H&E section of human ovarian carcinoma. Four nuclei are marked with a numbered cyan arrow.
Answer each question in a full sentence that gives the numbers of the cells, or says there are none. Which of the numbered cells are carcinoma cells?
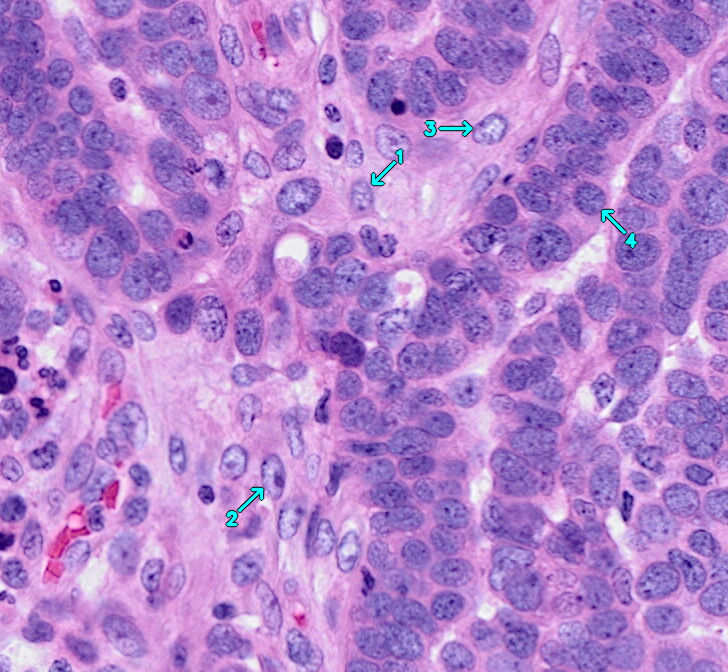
Cell 4 is the only one of the numbered cells that is a carcinoma cell.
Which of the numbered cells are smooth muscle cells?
As regards the numbered cells, smooth muscle cells are not represented.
